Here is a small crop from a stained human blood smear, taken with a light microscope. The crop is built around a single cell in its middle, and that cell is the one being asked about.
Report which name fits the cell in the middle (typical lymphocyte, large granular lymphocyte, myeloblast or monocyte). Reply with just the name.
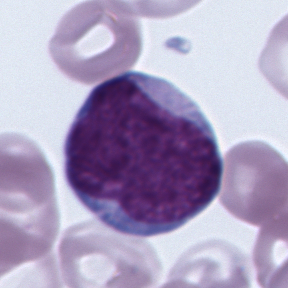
myeloblast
